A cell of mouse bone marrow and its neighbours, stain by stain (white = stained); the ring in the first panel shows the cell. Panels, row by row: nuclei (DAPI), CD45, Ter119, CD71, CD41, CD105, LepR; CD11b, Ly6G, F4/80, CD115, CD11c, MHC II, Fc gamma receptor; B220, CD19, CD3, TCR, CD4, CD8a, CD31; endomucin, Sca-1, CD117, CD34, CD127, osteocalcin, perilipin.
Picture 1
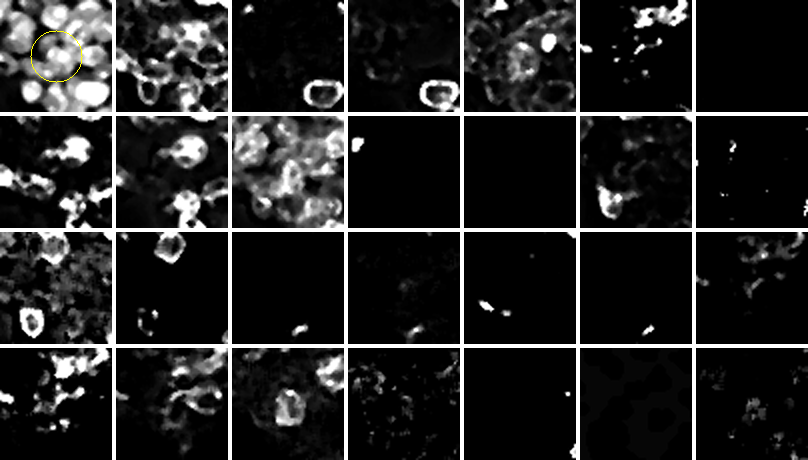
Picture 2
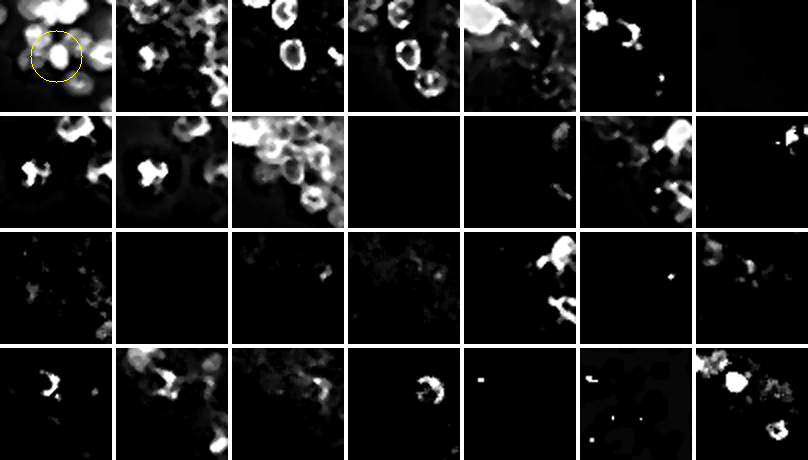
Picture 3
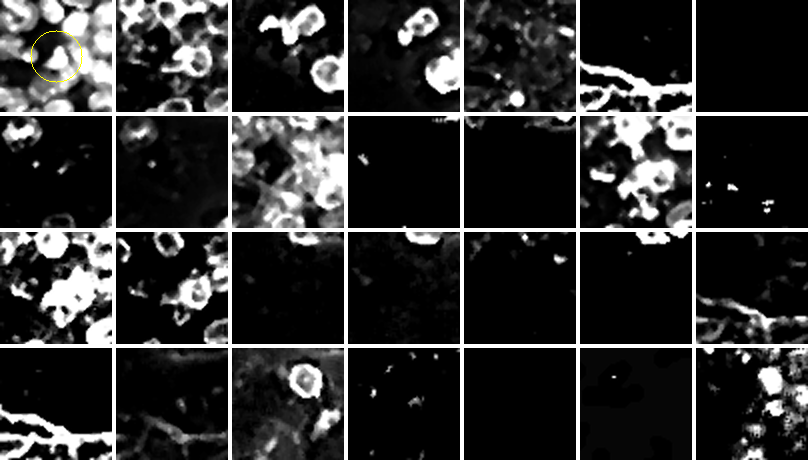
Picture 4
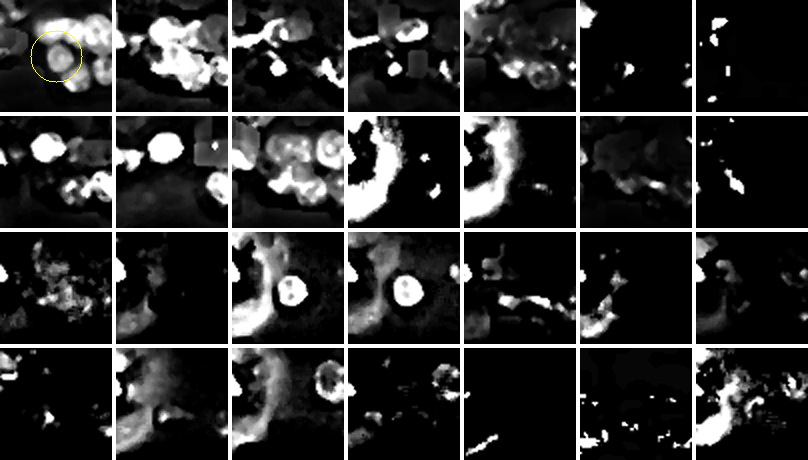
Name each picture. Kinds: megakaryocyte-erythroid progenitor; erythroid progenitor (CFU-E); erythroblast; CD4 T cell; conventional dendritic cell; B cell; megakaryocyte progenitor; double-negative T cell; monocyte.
Picture 1: megakaryocyte progenitor
Picture 2: erythroblast
Picture 3: B cell
Picture 4: double-negative T cell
